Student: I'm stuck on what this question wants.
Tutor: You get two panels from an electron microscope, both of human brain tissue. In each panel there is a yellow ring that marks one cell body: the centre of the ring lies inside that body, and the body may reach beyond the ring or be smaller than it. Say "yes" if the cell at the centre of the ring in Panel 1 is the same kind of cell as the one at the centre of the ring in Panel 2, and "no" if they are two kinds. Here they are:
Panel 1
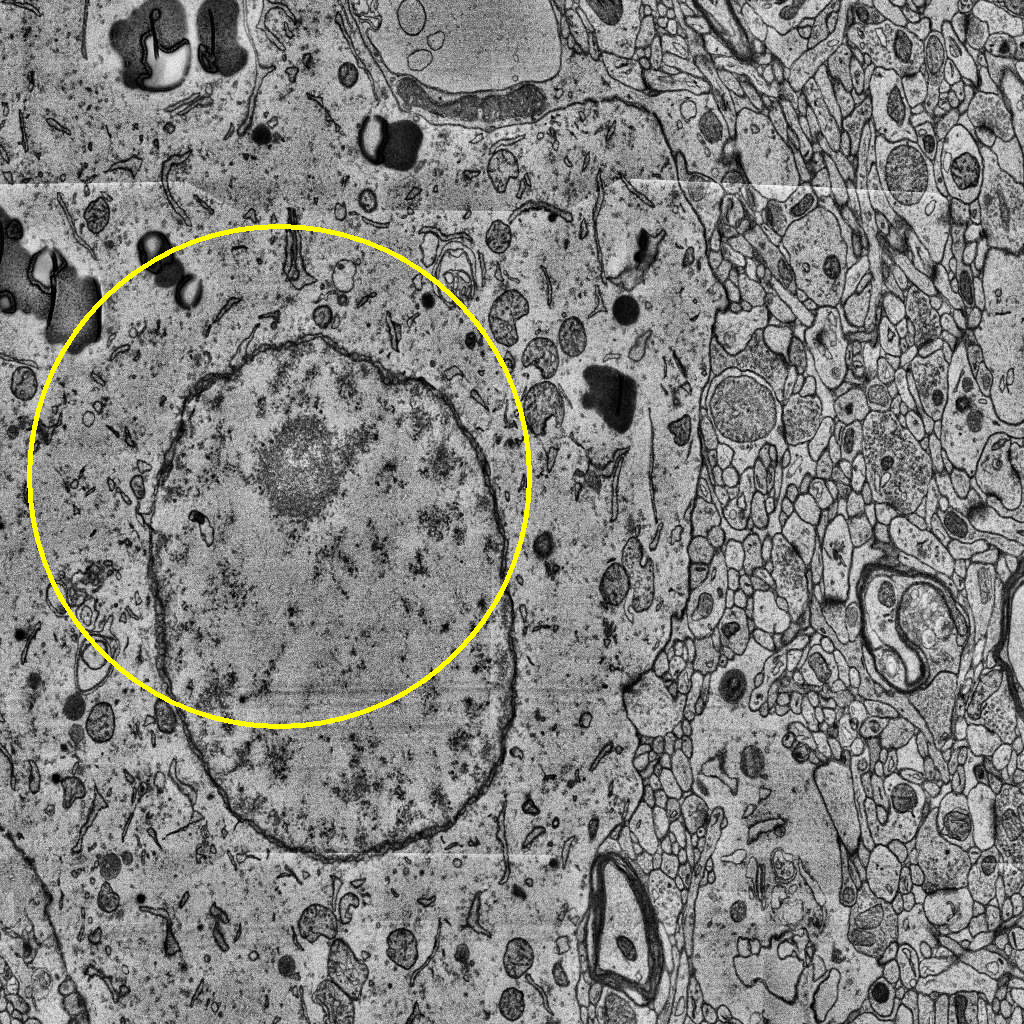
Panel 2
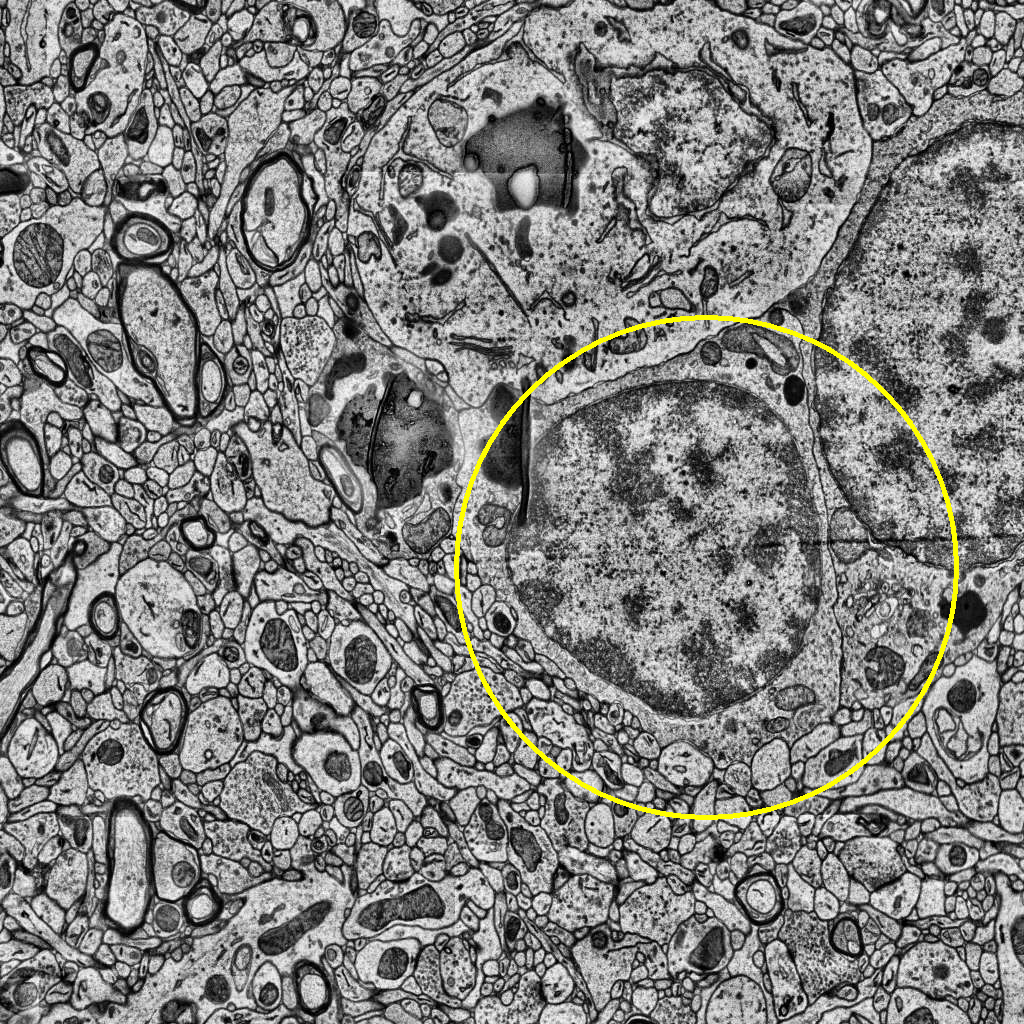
no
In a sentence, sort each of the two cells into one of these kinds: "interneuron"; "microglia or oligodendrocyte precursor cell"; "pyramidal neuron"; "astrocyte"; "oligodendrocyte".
The first picture shows a pyramidal neuron at the ring centre and the second shows an oligodendrocyte.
